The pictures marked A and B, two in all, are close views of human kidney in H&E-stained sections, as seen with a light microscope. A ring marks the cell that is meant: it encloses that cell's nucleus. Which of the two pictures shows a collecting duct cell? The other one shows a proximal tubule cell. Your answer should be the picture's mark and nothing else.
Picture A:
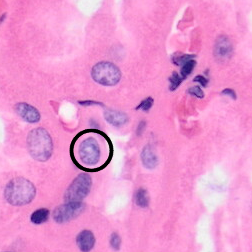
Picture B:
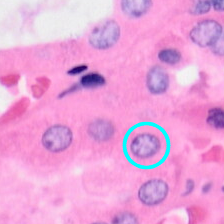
A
